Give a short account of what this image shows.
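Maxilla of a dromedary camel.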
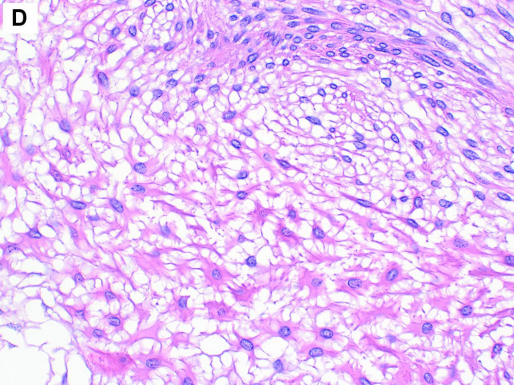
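The centre of a lobule is filled with star-shaped cells whose thin pink processes link into a loose network around clear spaces. The nuclei are small and round to oval, and some cells have denser pink cytoplasm. Toward the top, the cells become more crowded and spindle-shaped where the lobule edge begins. This loose network is stellate reticulum within the lobule.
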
